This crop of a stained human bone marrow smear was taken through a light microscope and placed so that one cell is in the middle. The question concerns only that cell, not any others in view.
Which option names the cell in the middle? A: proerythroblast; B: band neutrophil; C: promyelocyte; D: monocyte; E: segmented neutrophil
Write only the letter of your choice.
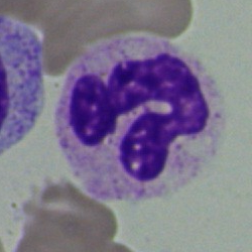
E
